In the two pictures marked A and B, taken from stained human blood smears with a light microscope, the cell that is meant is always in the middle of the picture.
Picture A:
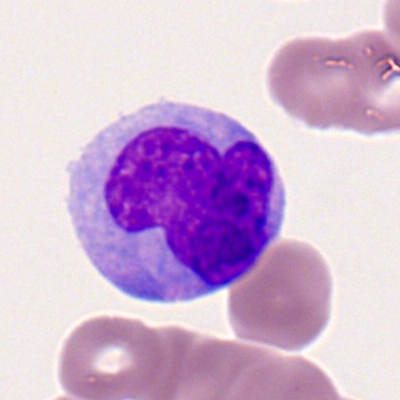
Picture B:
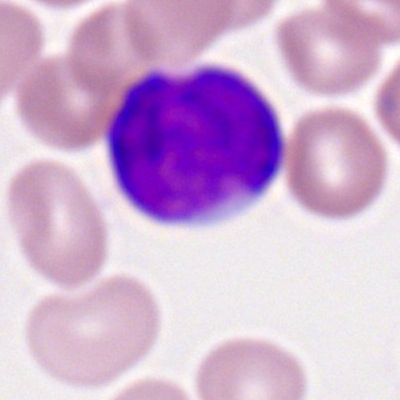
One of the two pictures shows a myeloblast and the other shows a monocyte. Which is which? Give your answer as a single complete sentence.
Picture A is of a monocyte, and picture B is of a myeloblast.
